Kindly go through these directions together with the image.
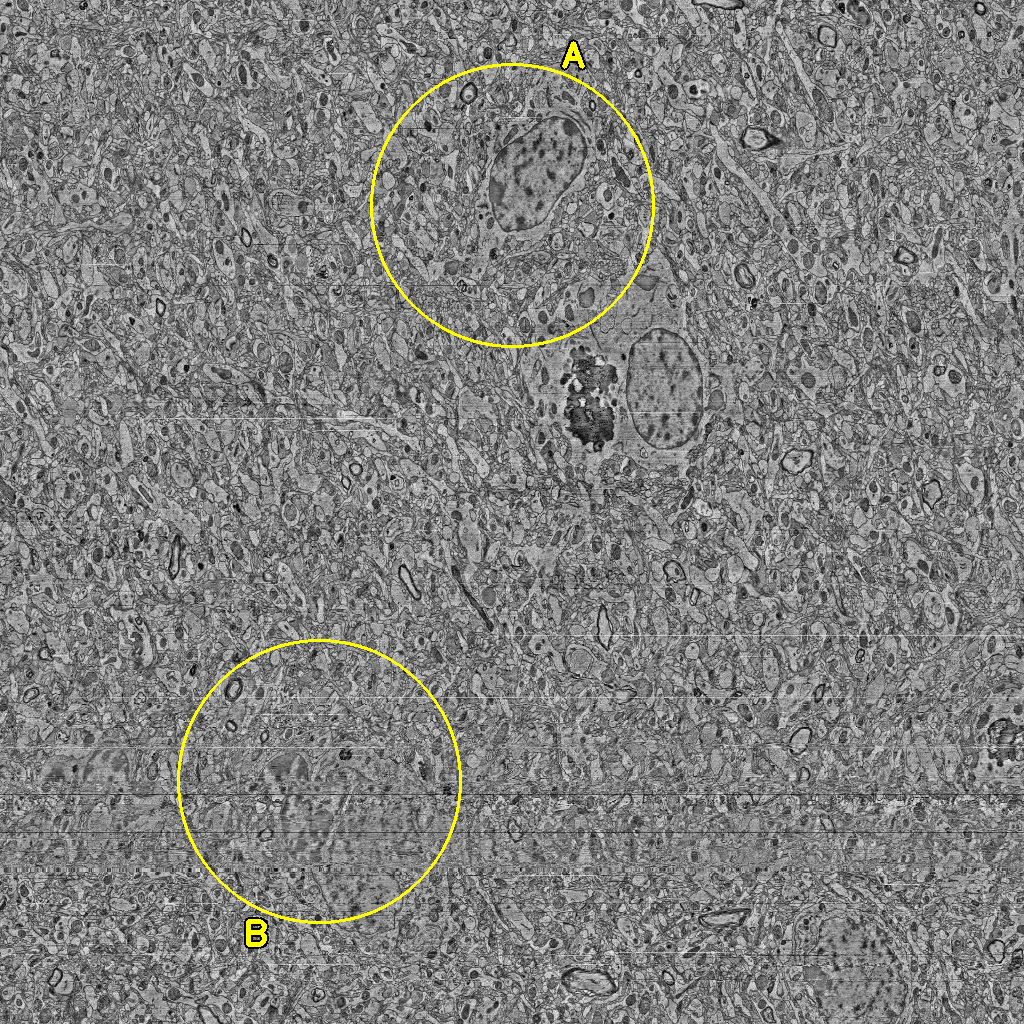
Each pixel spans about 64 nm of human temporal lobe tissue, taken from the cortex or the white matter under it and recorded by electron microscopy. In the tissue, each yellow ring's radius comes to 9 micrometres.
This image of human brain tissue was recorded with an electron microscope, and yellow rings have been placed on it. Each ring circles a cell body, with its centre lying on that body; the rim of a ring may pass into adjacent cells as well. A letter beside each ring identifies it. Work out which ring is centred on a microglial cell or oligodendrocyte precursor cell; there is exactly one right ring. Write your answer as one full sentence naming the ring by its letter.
Ring A is the one whose centre lies on a cell of that kind.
